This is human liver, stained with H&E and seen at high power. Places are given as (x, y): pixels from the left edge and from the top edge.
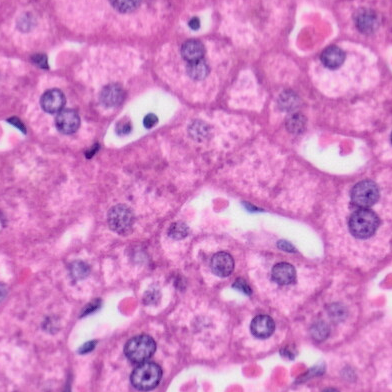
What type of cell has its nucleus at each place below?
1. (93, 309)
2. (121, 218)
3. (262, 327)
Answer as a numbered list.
1. endothelial cell
2. hepatocyte
3. hepatocyte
